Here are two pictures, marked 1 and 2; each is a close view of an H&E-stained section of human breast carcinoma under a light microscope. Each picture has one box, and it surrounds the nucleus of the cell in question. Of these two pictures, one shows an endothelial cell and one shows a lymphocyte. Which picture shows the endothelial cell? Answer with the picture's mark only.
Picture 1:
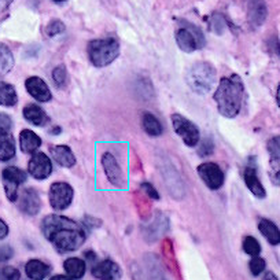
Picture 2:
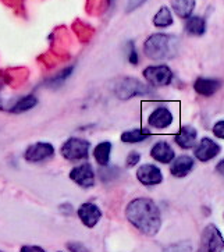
1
